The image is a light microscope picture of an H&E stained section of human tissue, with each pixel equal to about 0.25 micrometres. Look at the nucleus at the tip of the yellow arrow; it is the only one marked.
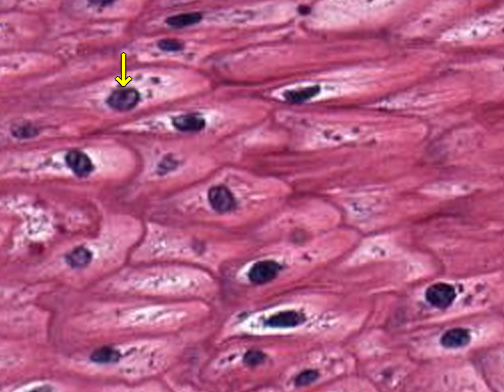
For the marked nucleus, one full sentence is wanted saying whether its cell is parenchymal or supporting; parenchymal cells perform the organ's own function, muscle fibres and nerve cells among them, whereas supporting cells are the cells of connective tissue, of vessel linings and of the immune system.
The marked nucleus is contained in a parenchymal cell, namely a squamous epithelial cell.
